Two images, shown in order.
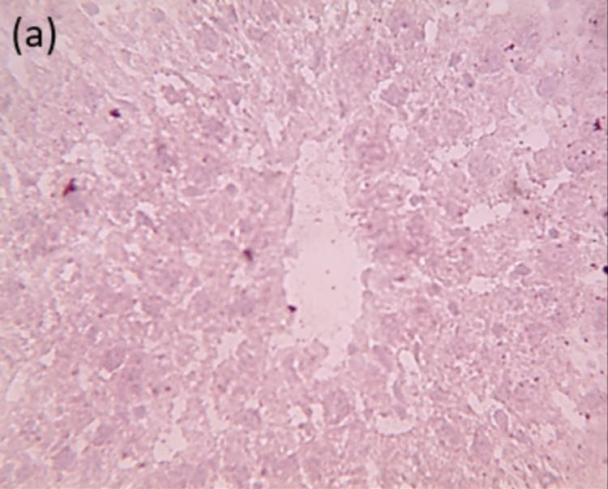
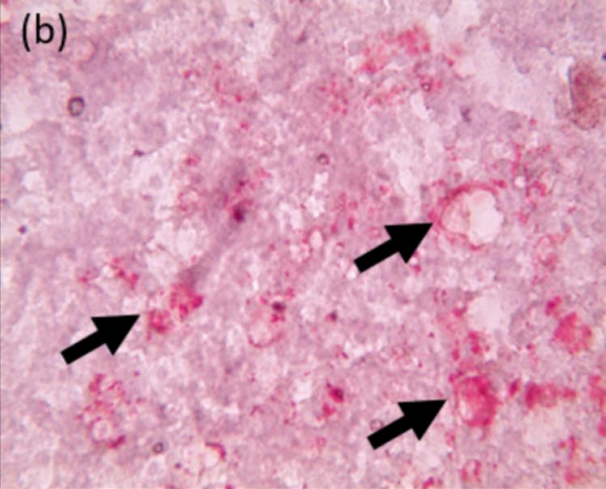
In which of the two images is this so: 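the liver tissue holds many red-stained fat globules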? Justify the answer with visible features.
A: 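Second image: many bright red droplets and clumps throughout the tissue. First image: uniformly pale pink tissue without red droplets. That points to this answer: the second image.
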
